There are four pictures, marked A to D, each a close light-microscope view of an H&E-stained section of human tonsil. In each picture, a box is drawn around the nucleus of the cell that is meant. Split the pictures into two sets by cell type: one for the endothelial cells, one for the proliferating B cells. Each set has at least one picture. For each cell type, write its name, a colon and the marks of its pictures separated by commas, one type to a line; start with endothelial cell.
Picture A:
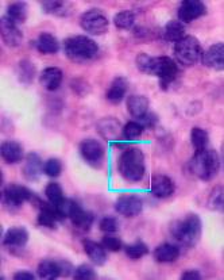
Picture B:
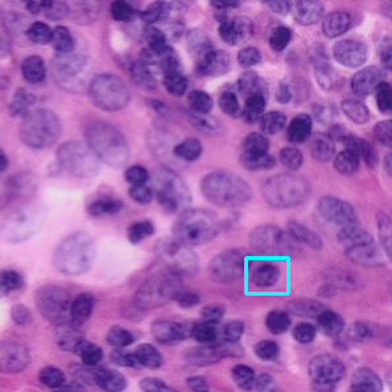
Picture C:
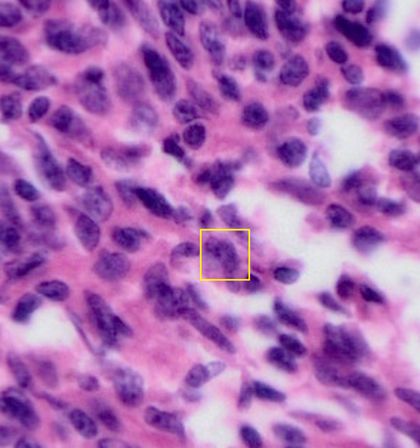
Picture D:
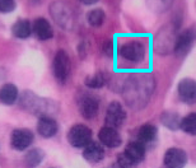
endothelial cell: B, D
proliferating B cell: A, C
